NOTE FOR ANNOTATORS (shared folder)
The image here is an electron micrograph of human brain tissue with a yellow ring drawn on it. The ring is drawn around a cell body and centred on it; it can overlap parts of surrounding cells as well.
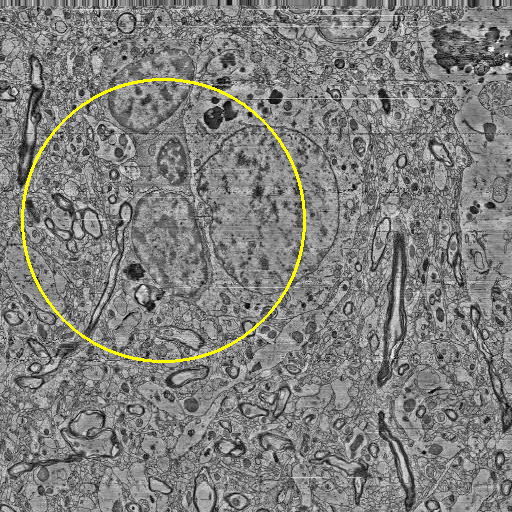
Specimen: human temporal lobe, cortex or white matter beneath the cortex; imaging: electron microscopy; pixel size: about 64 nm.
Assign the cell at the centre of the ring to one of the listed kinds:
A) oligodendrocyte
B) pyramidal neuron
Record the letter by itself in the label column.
A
